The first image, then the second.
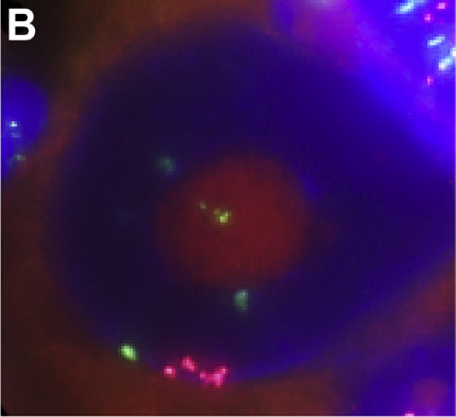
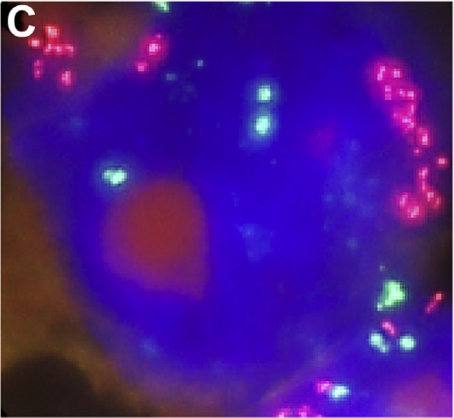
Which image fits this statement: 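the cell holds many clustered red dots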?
The second image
